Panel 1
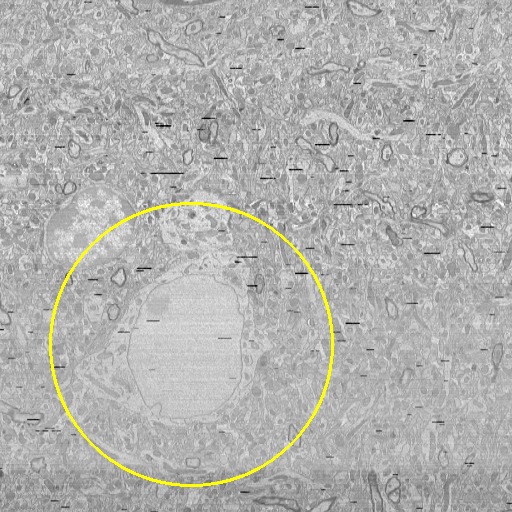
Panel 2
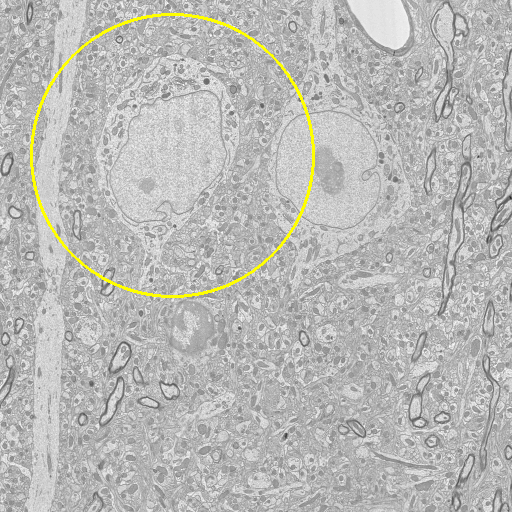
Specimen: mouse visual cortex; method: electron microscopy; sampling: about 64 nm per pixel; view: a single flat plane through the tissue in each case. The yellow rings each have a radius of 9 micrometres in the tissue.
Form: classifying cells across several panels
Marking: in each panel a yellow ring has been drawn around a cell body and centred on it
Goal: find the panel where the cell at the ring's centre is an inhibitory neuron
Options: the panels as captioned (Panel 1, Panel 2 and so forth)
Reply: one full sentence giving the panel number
Panel 2 shows the wanted cell at the centre of its ring.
